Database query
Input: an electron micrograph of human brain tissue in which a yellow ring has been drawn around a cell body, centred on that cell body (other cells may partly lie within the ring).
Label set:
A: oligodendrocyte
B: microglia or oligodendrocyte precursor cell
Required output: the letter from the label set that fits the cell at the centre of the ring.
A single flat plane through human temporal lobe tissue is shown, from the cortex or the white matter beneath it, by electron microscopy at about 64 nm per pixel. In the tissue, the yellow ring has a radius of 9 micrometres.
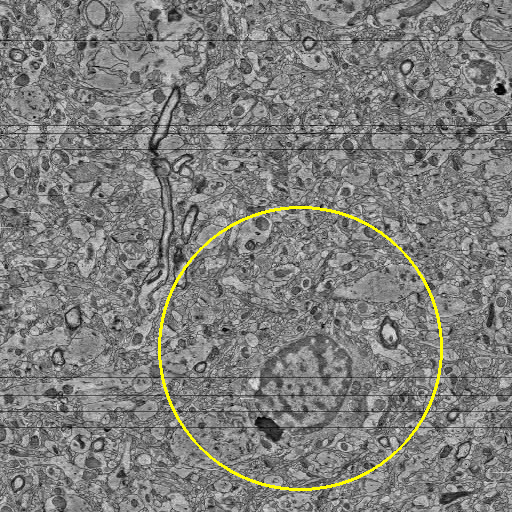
A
